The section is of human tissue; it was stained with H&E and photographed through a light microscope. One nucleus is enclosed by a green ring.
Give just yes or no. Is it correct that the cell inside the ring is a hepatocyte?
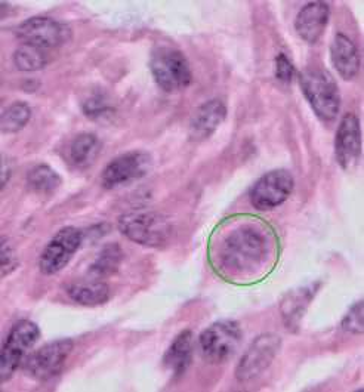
no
